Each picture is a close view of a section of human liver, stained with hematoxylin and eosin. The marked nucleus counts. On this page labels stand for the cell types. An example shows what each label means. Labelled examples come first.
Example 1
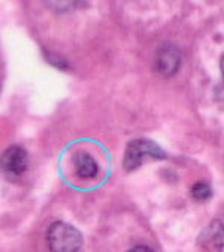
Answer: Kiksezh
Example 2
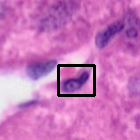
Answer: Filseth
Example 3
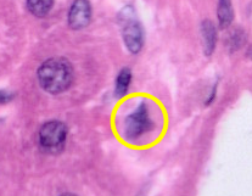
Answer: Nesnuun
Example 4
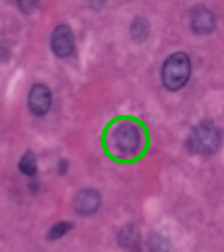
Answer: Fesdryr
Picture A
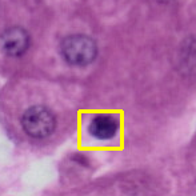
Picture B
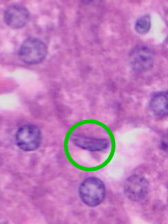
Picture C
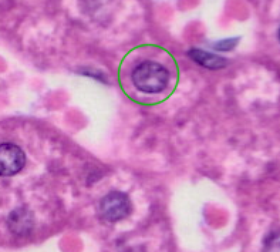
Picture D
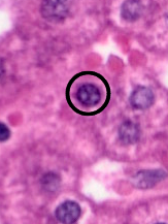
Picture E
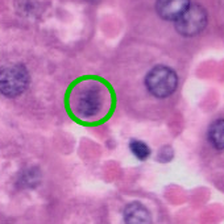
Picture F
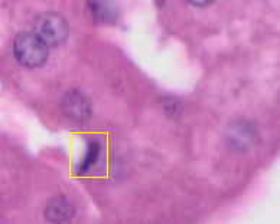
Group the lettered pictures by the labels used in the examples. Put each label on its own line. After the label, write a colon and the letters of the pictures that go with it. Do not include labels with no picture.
Kiksezh: A
Filseth: B
Nesnuun: E, F
Fesdryr: C, D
